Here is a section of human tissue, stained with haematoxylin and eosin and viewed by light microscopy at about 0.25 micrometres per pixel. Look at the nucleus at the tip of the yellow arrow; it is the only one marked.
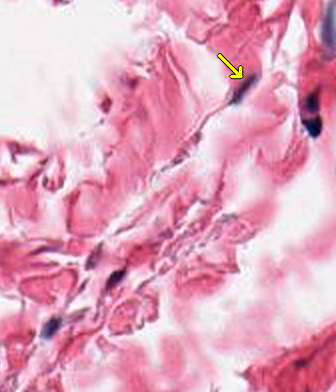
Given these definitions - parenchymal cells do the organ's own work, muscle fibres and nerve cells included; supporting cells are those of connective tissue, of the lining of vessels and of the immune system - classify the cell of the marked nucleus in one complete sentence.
The nucleus that is marked belongs to a supporting cell.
